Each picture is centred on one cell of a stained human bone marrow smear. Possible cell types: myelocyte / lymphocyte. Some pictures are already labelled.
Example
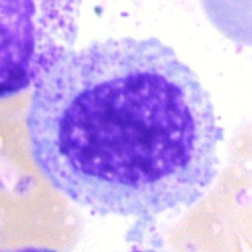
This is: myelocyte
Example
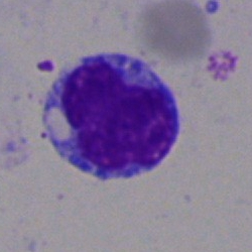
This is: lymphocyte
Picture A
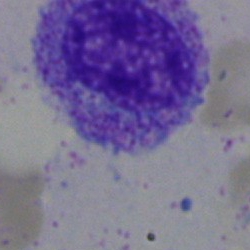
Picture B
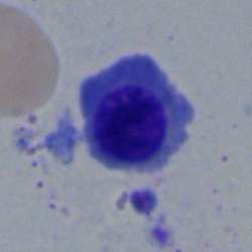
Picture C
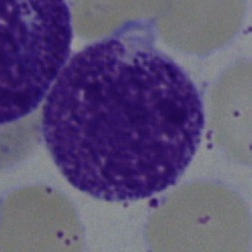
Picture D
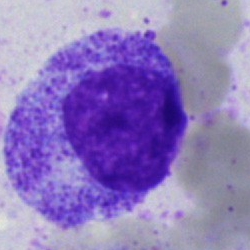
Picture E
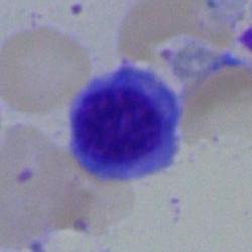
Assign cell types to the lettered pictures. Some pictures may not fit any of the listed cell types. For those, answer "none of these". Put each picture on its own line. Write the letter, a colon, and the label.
A: myelocyte
B: none of these
C: myelocyte
D: myelocyte
E: none of these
